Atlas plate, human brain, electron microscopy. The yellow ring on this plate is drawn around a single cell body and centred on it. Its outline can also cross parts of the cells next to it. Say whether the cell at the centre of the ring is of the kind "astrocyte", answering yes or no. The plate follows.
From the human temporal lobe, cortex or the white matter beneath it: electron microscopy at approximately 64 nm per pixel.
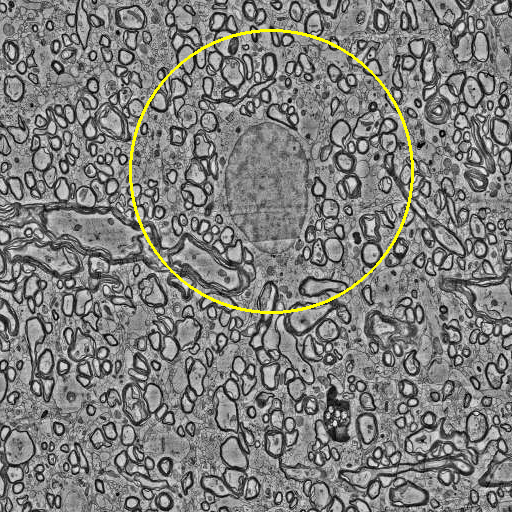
No, the cell is of another kind.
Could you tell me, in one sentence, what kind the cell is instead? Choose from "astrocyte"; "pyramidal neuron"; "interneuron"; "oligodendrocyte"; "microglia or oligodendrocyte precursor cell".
Instead, the ring in this picture marks an oligodendrocyte.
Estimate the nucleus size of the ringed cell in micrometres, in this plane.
In this plane the nucleus spans approximately 9 by 6 micrometers.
